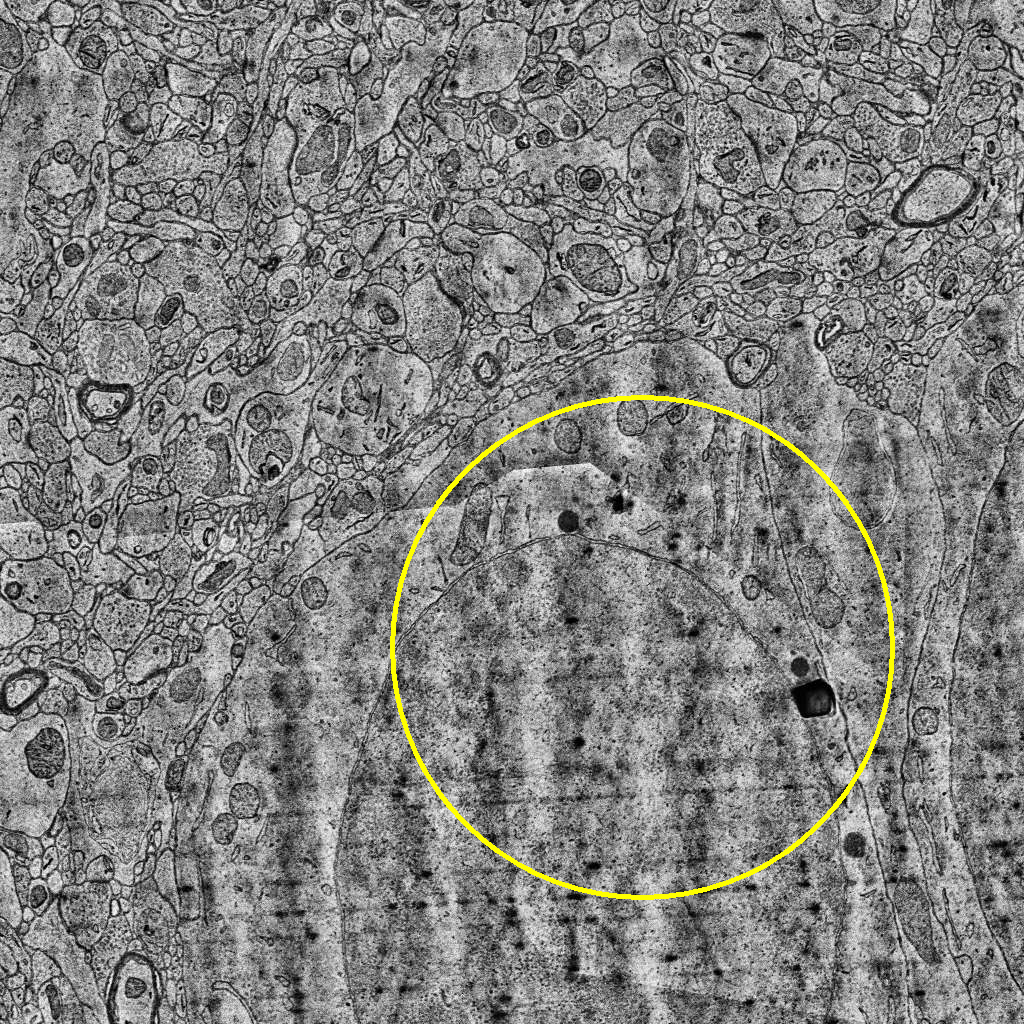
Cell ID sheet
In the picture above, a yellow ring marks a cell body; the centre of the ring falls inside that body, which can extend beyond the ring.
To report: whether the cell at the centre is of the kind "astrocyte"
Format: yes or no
no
